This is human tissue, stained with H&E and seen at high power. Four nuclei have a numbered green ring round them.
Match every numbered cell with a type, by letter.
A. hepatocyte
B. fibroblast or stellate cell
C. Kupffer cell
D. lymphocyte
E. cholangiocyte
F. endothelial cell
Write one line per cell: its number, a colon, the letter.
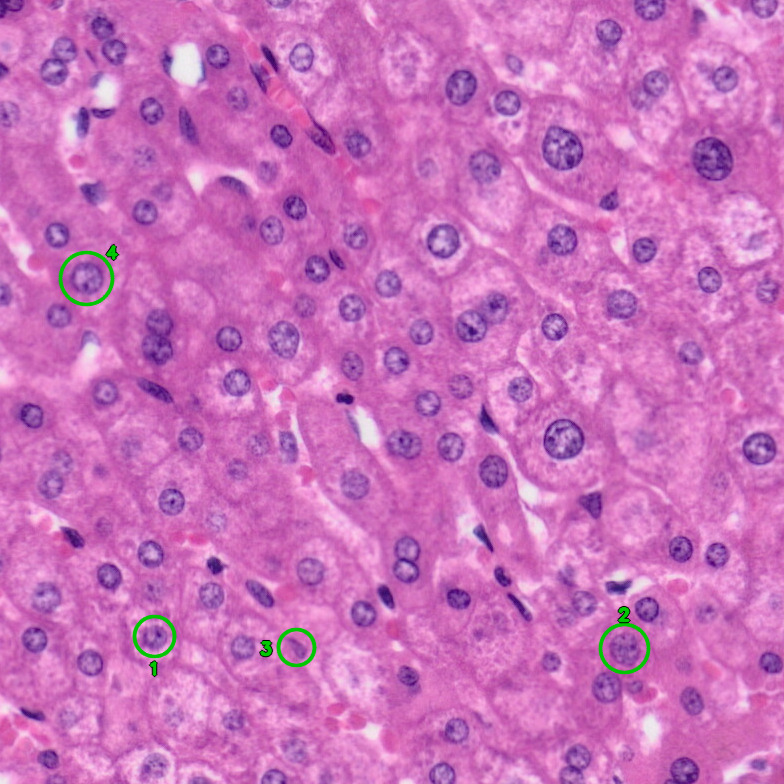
1: A
2: A
3: F
4: A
